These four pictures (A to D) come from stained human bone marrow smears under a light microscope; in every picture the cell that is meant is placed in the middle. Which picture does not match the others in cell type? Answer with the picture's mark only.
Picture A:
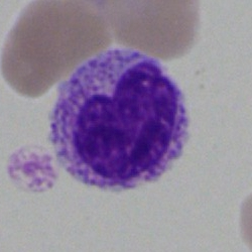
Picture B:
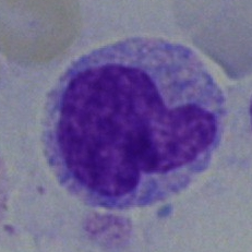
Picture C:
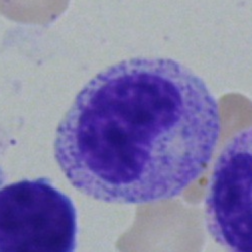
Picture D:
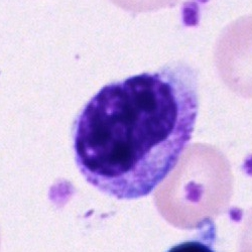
B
